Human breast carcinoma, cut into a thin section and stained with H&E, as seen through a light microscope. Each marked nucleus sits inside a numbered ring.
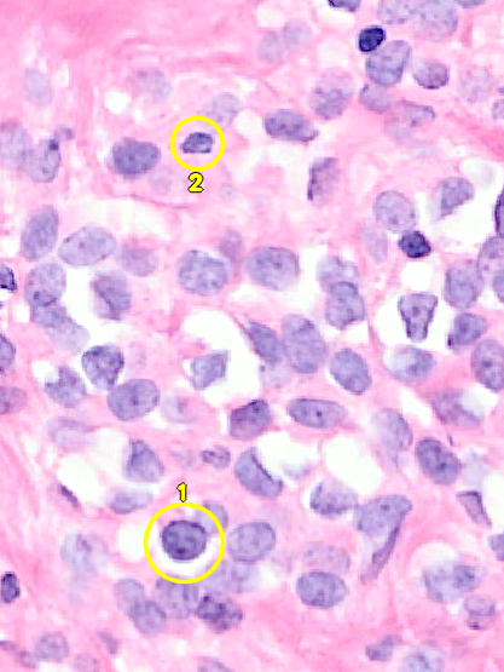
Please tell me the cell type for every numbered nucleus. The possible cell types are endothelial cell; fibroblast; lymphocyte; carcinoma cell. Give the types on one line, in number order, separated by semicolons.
carcinoma cell; lymphocyte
